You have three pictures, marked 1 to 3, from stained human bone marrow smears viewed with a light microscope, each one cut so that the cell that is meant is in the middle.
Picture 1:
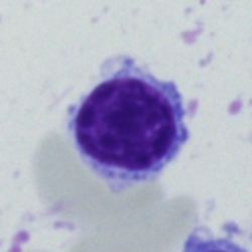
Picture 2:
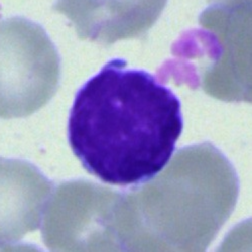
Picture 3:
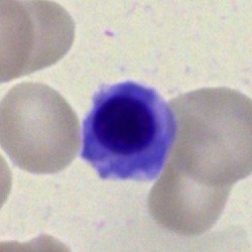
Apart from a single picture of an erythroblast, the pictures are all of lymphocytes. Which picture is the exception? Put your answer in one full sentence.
It is picture 3 that shows the erythroblast.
